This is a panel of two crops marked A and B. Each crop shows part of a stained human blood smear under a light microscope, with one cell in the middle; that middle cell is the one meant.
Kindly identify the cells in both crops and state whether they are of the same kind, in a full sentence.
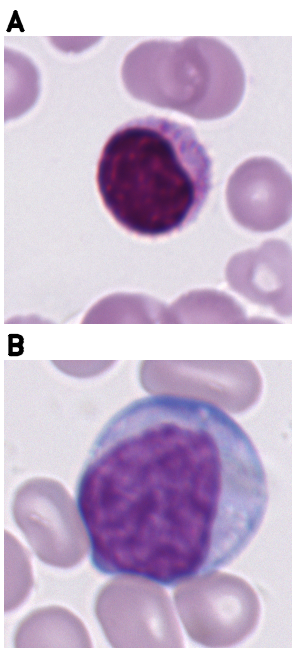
No, the cell at the middle of crop A is a large granular lymphocyte, while crop B centres on a myeloblast.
